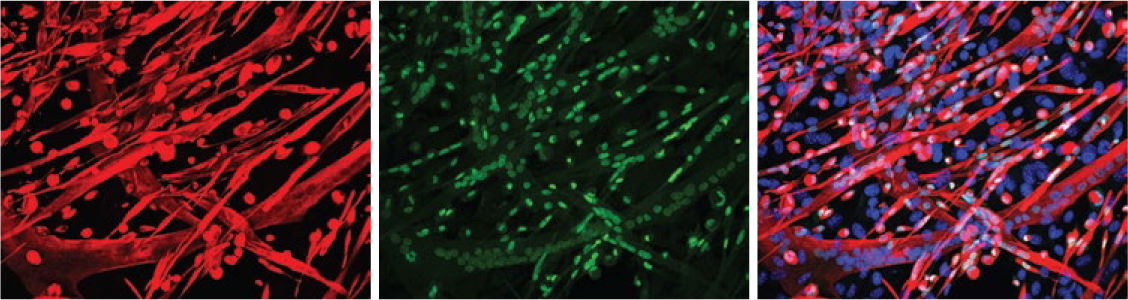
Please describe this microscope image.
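This is a culture of muscle cells with many elongated myotubes stained red. Some tubes are long and thin, others broad and swollen, and they cross and overlap over the field. Clusters of nuclei lie packed inside the broader red tubes. Many nuclei show green staining, scattered through the field and within the tubes. The three images show the red, green and merged channels of the same field, with blue nuclei in the merge.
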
